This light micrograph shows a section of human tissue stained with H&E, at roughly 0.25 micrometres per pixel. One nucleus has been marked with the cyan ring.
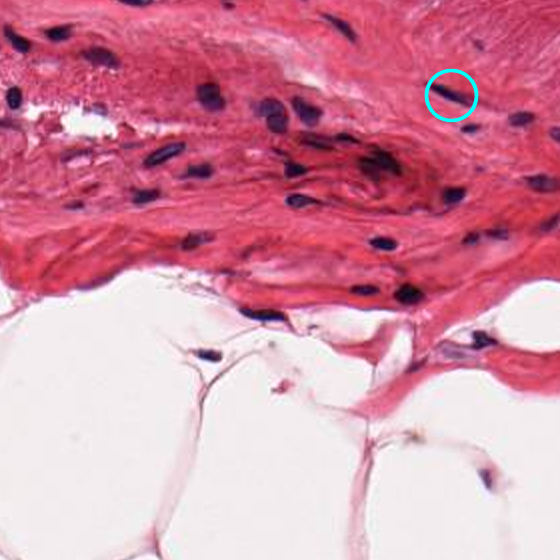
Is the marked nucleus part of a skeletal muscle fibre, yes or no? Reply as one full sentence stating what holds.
No, that the marked nucleus belongs to a skeletal muscle fibre does not hold; it belongs to a supporting cell.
